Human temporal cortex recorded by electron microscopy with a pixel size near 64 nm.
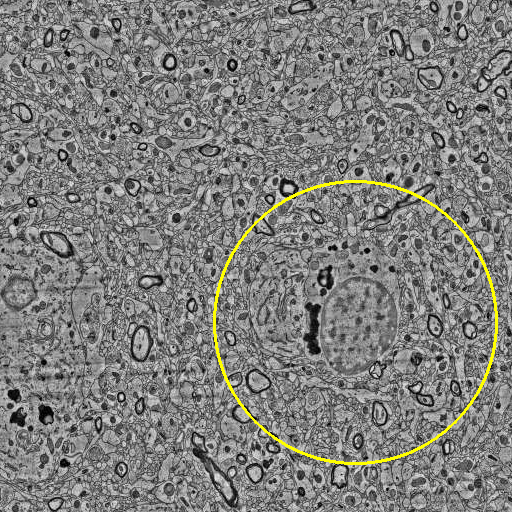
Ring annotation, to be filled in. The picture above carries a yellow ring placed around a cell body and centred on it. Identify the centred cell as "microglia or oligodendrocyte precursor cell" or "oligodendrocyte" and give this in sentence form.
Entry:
The cell in the middle of the ring is an oligodendrocyte.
